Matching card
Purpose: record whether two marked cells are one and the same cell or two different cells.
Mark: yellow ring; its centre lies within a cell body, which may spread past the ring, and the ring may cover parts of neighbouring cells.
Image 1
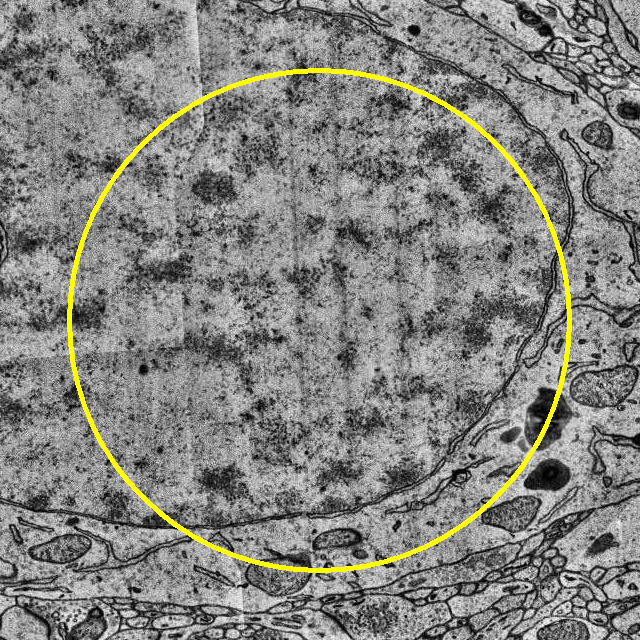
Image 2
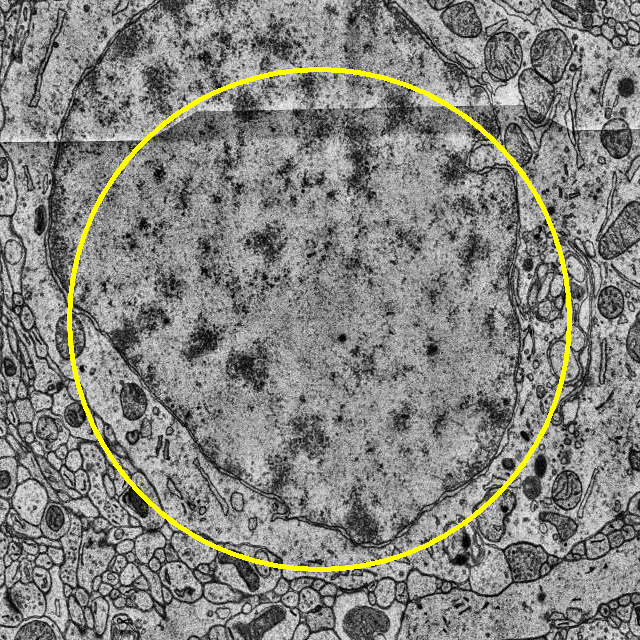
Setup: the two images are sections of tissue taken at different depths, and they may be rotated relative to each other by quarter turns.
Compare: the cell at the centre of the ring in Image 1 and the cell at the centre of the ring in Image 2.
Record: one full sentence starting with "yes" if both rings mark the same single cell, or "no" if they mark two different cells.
No, what the two rings mark is two different cells.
